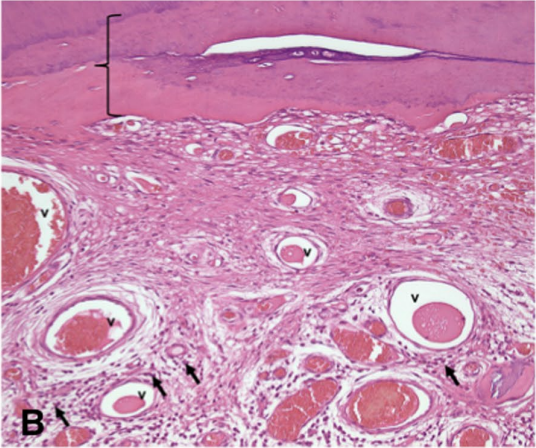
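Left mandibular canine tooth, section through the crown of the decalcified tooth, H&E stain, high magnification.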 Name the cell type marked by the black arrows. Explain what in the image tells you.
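Inflammatory cells. The arrows point to small clusters of dark round nuclei. These clusters lie between vessels in the pulp stroma.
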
